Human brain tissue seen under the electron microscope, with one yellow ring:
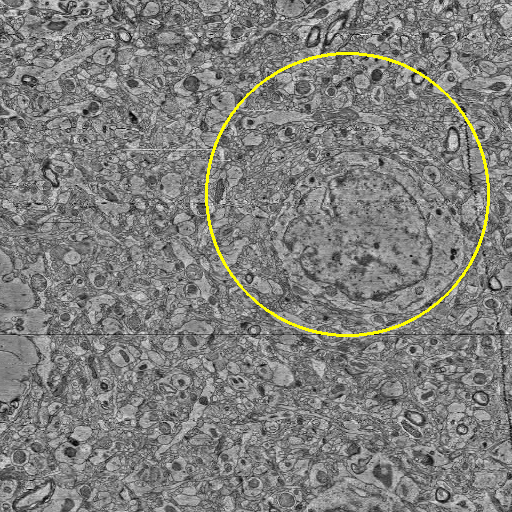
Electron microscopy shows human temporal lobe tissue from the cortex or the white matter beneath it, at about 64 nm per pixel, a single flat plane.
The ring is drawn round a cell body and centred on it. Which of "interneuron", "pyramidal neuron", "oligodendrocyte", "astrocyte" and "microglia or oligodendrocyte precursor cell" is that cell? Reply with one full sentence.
The picture shows an interneuron at the very centre of the yellow ring.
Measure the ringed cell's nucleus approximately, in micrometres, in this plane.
Roughly 9 micrometers across, in this plane.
